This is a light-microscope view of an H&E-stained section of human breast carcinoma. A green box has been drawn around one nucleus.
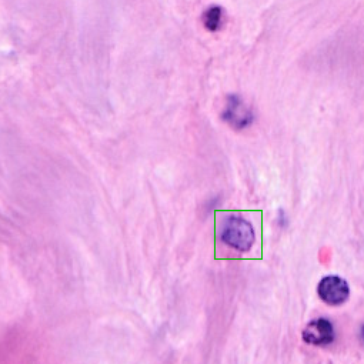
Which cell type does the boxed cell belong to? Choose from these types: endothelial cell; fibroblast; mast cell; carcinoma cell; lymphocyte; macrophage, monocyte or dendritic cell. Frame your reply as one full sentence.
Just put down that the boxed cell is a macrophage, monocyte or dendritic cell.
